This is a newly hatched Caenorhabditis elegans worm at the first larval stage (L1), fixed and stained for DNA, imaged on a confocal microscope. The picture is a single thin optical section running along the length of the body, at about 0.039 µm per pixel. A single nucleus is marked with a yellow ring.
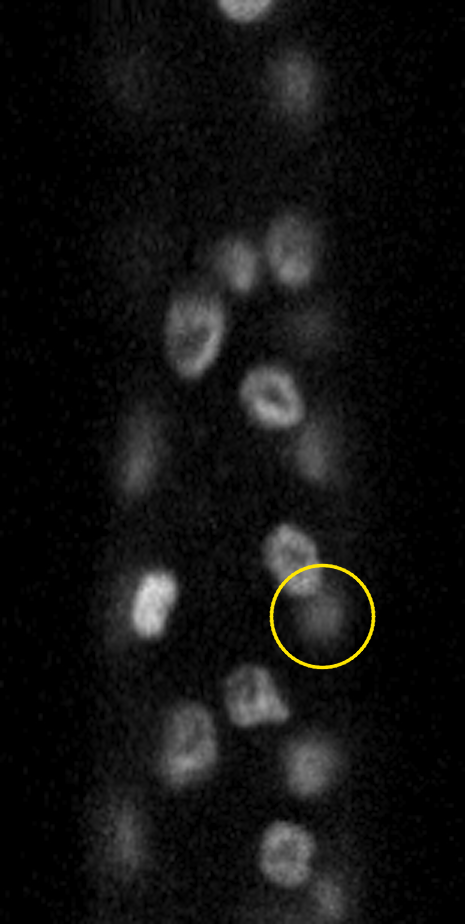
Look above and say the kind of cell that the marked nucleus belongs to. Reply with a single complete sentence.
The marked nucleus belongs to a body wall muscle cell.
